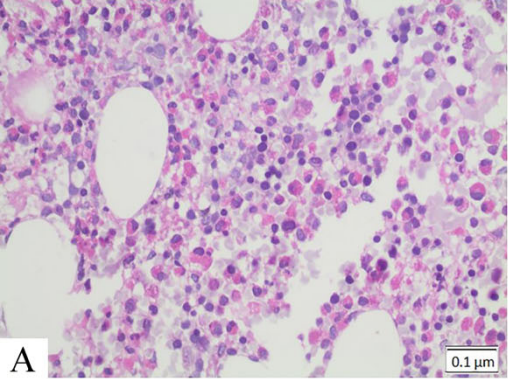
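This is bone marrow, densely packed with blood-forming cells, and many of them are eosinophils. The eosinophils stand out by their bright pink-red granular cytoplasm, among other cells with darker purple nuclei. Round empty white spaces are fat cells lying between the cords of marrow cells. The marrow is very cellular, with little space between the cells.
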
